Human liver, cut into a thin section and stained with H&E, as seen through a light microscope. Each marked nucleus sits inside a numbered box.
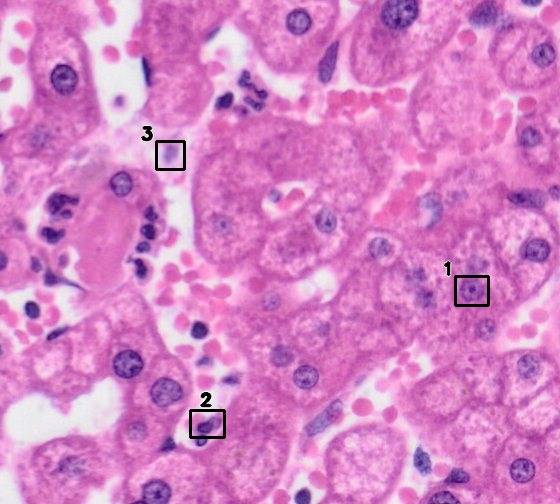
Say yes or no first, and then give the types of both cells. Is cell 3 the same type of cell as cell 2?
Yes, both are Kupffer cells.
